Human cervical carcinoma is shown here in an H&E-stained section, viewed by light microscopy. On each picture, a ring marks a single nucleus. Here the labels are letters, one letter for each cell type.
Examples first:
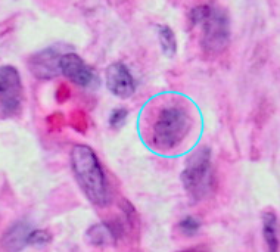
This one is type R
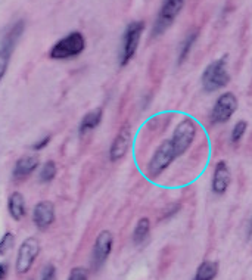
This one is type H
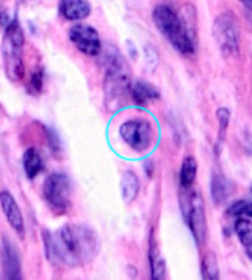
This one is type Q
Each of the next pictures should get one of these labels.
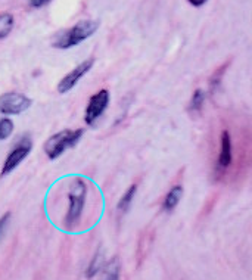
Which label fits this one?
type H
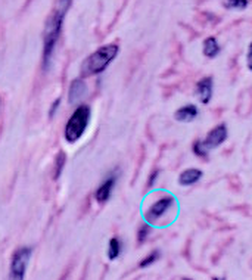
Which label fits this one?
type H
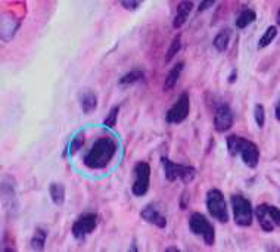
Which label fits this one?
type Q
